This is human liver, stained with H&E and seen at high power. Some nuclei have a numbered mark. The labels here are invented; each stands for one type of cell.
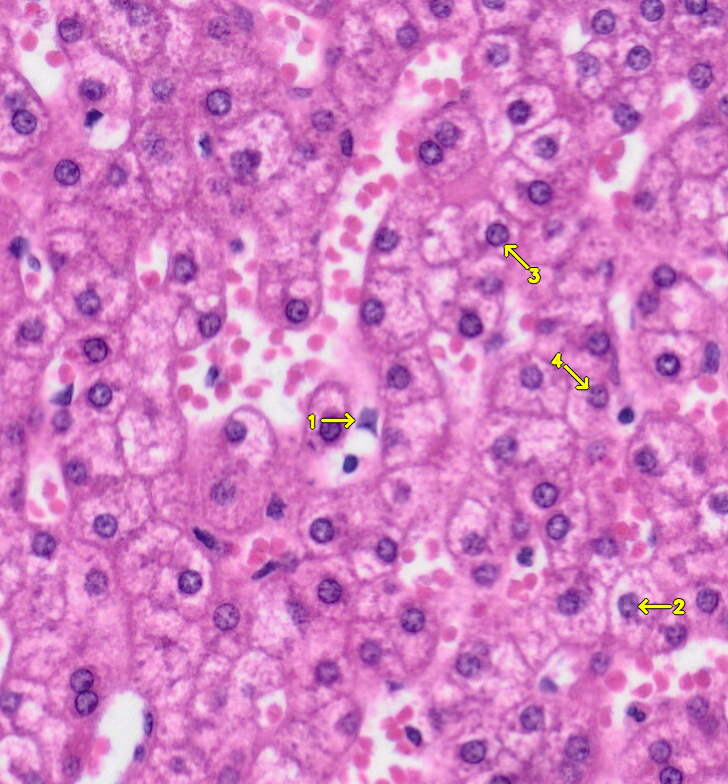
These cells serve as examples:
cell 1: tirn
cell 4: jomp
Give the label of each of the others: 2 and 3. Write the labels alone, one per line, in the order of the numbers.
jomp
jomp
